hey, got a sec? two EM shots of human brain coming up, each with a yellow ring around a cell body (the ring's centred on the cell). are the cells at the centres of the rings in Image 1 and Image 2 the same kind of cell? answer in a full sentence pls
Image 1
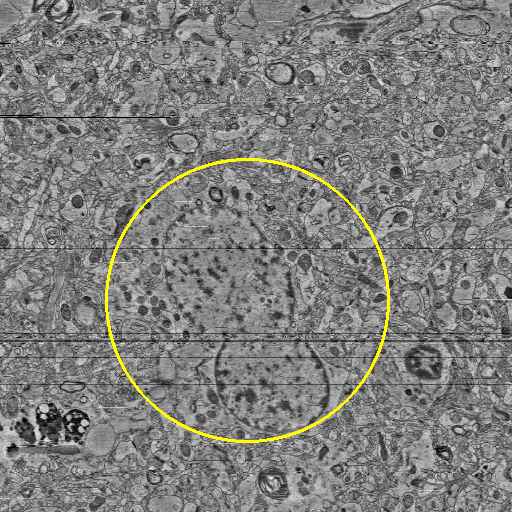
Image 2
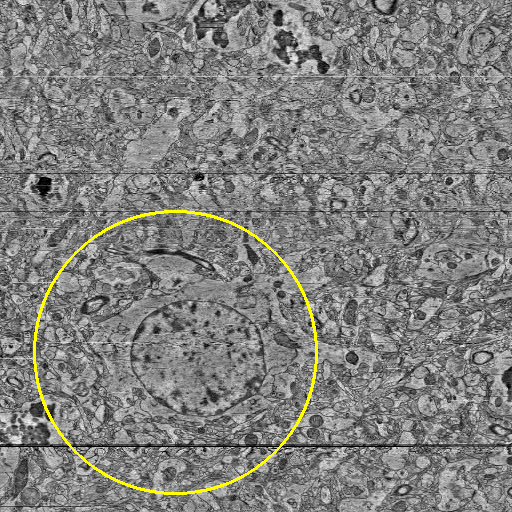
Yes, both are the same kind of cell.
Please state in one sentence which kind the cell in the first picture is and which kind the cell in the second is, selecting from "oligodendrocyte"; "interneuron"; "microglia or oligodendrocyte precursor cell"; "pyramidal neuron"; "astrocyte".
Each cell at the centre of a ring is an astrocyte.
